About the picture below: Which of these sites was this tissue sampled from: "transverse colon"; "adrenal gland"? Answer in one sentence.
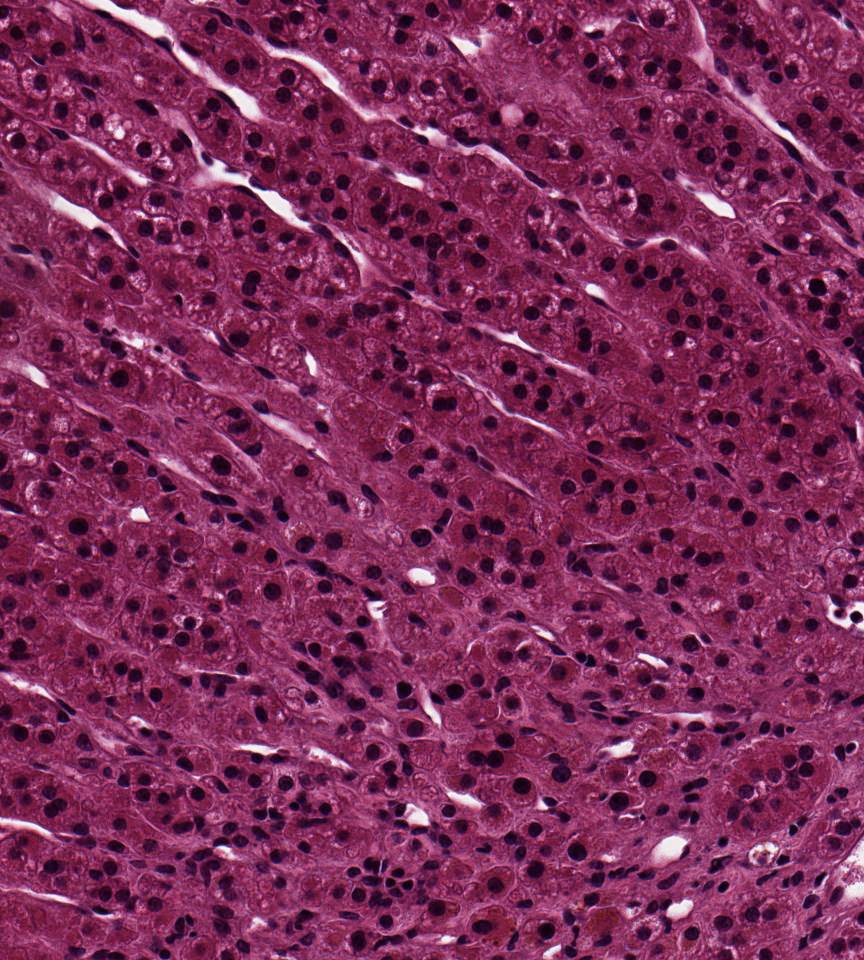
The site this tissue was sampled from is the adrenal gland.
